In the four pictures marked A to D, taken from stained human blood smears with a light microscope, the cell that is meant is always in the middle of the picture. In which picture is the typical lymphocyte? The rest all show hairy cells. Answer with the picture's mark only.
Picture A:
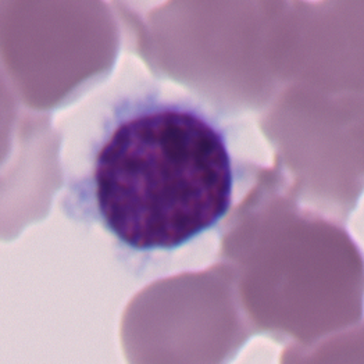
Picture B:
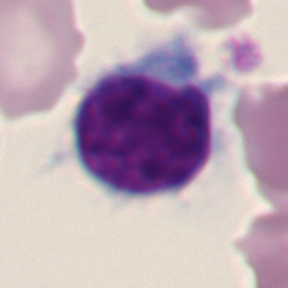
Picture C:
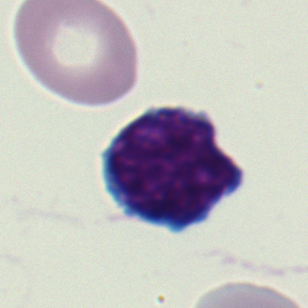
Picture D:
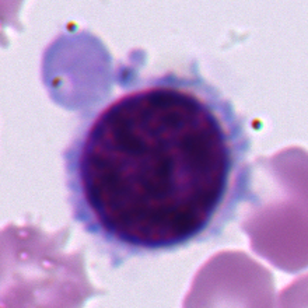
C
